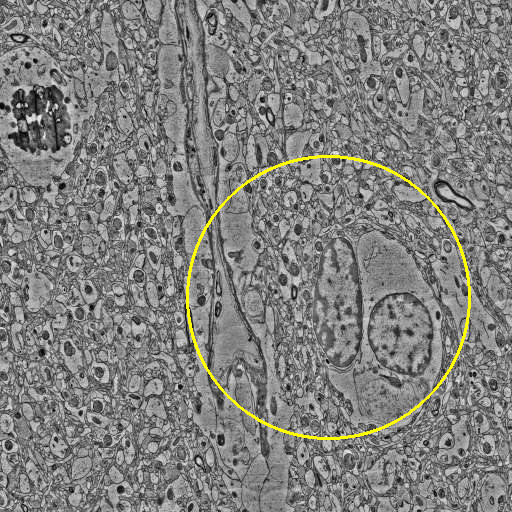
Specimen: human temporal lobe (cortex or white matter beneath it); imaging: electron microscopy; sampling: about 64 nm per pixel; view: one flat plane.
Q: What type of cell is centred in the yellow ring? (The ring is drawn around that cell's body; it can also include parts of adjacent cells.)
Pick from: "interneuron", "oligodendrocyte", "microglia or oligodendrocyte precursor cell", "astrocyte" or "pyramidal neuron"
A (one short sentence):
The yellow ring is centred on a microglial cell or oligodendrocyte precursor cell.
